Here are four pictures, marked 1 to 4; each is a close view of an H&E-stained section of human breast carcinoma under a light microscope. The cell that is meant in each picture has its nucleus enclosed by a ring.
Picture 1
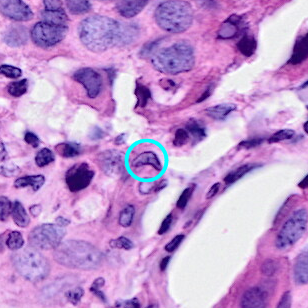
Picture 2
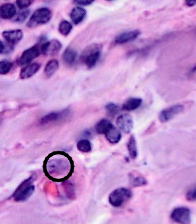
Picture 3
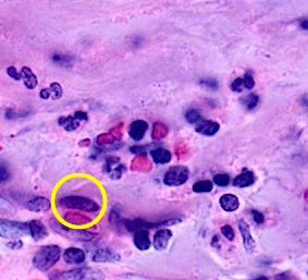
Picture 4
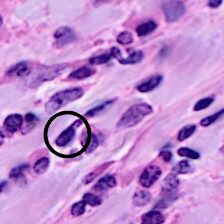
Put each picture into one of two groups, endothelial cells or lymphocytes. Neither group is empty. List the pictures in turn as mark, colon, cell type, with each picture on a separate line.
1: endothelial cell
2: endothelial cell
3: endothelial cell
4: lymphocyte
